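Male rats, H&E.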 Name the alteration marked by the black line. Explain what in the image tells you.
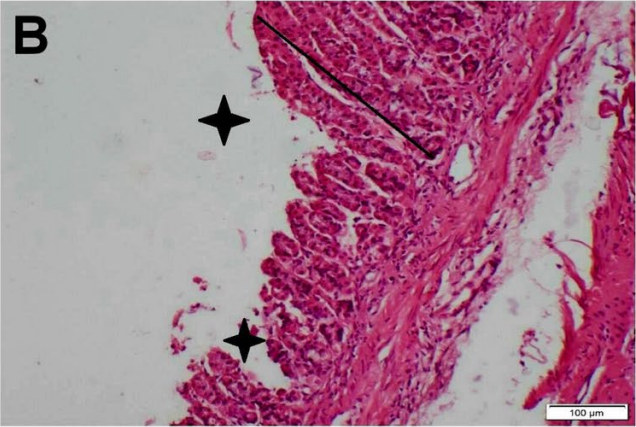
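The mucosa along the line is thin. That points to this answer: atrophy of gastric mucosa.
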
